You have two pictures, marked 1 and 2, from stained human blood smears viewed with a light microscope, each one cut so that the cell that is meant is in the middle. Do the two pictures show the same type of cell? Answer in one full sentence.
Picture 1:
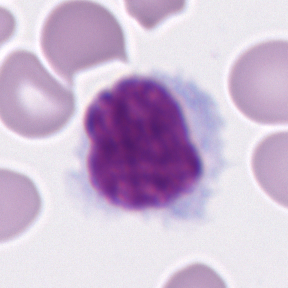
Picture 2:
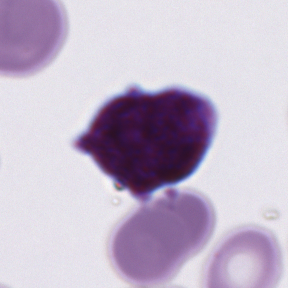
No, they differ: the cell is a hairy cell in picture 1 and a myeloblast in picture 2.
